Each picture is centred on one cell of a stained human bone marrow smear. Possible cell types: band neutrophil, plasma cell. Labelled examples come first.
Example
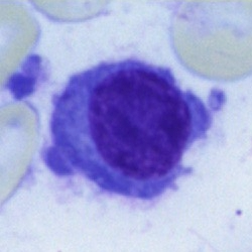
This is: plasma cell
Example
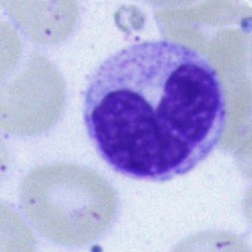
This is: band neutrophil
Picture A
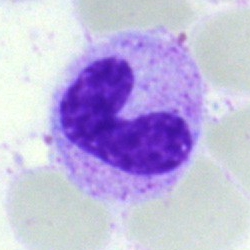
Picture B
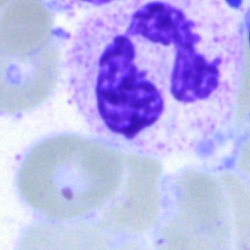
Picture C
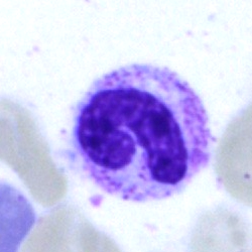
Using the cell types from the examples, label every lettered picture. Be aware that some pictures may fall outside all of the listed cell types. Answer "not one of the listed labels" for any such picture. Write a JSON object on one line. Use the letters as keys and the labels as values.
{"A": "band neutrophil", "B": "not one of the listed labels", "C": "band neutrophil"}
